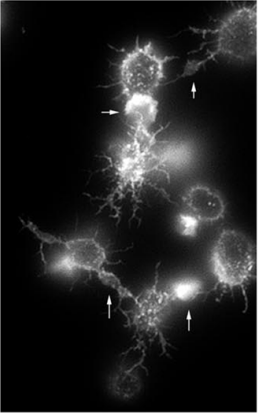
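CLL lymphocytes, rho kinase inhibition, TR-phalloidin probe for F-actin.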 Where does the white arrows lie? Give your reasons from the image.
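Thin branched processes connect the cells into a network. That points to this answer: points of intercellular contact.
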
